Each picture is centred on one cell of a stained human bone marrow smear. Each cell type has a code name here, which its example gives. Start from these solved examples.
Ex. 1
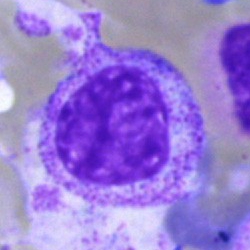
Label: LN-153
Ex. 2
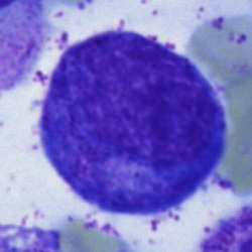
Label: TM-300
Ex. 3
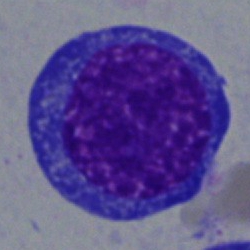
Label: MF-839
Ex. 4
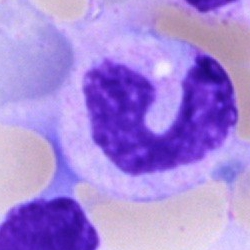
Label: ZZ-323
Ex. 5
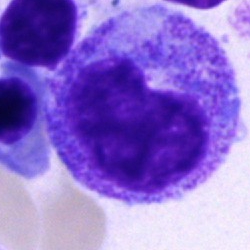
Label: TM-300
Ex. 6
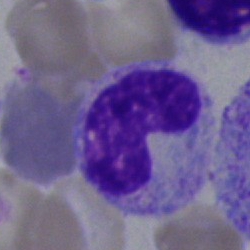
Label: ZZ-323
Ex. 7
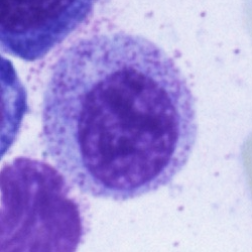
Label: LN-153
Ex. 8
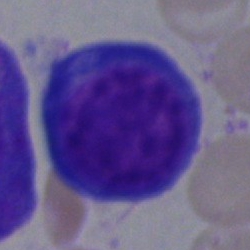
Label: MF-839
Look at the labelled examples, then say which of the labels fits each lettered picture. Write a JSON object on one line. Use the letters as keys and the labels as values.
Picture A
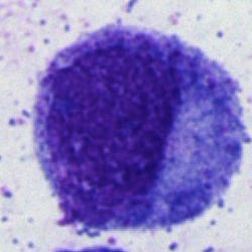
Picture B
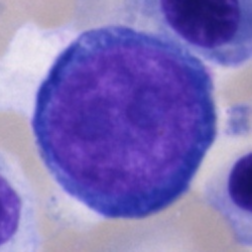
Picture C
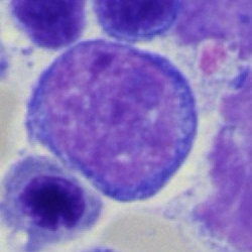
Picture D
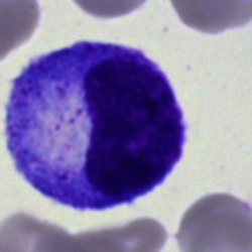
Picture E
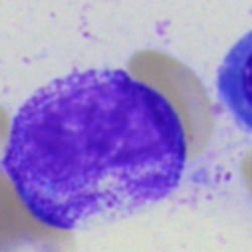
{"A": "TM-300", "B": "MF-839", "C": "MF-839", "D": "TM-300", "E": "LN-153"}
